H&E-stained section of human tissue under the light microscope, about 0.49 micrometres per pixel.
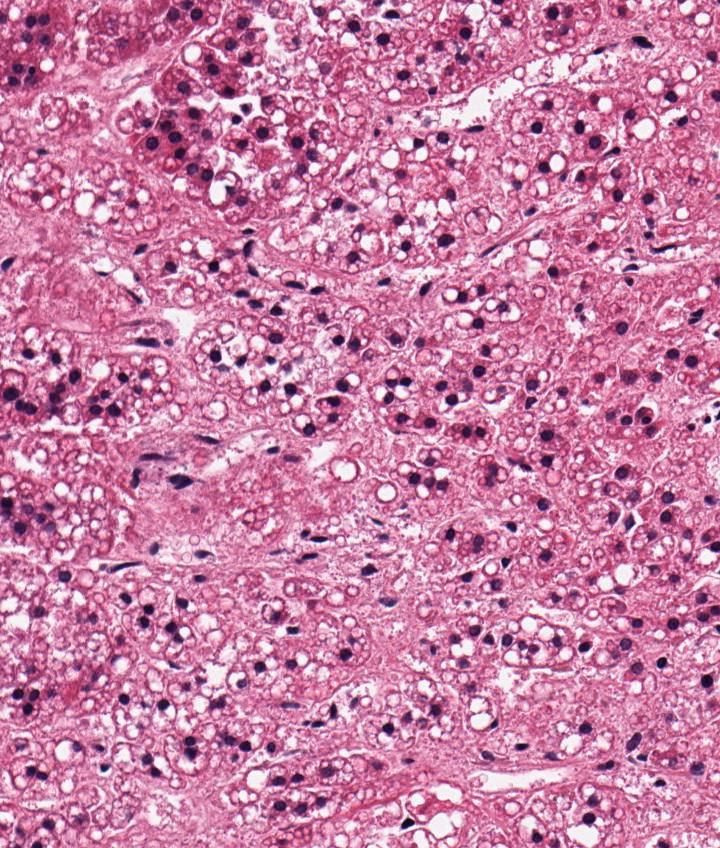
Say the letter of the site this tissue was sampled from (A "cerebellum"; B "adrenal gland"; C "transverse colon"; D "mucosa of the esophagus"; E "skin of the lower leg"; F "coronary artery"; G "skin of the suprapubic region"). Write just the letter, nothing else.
B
